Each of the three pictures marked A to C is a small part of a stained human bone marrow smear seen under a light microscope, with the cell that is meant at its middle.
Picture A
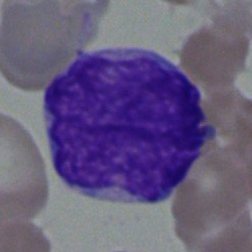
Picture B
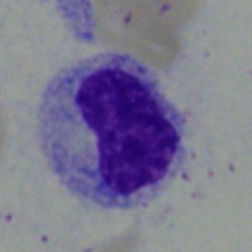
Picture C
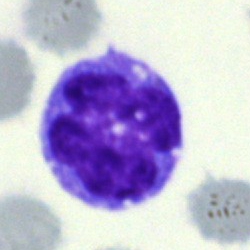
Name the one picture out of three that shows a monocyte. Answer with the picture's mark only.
C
